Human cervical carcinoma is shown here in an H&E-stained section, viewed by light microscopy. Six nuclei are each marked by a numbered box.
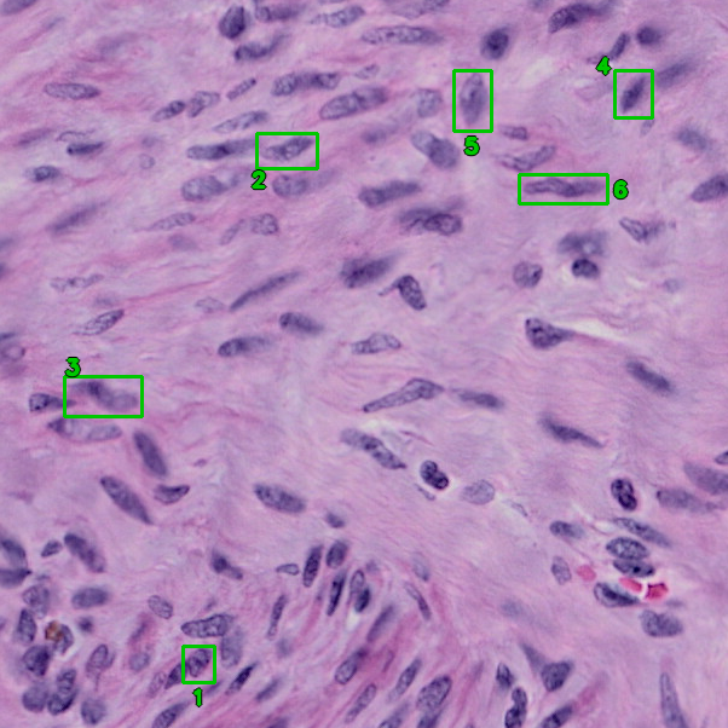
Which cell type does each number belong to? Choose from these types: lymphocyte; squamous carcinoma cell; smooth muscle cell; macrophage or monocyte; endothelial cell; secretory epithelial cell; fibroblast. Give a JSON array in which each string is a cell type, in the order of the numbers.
["smooth muscle cell", "smooth muscle cell", "smooth muscle cell", "fibroblast", "fibroblast", "smooth muscle cell"]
